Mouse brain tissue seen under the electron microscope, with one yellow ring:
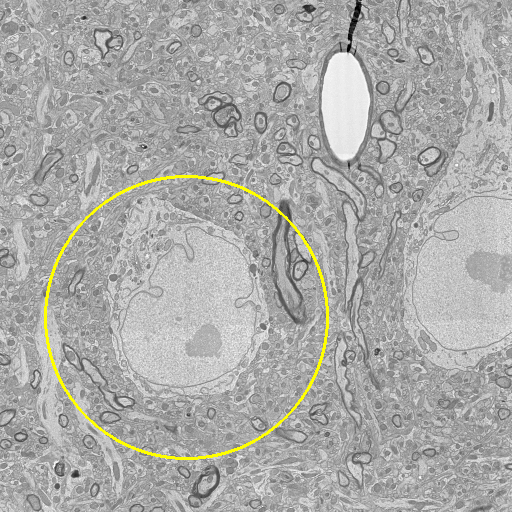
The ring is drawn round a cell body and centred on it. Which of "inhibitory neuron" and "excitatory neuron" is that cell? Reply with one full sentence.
The picture shows an inhibitory neuron at the very centre of the yellow ring.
